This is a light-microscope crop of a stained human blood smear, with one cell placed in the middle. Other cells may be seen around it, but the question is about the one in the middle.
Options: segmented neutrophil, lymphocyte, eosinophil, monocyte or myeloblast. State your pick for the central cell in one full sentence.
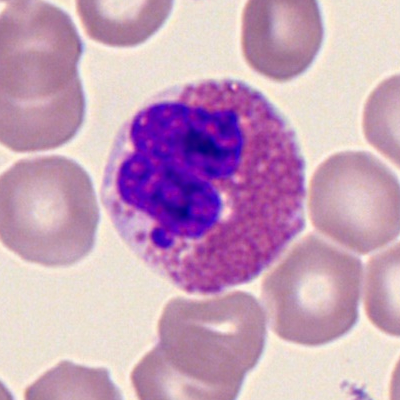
The cell in the middle of this crop is an eosinophil.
